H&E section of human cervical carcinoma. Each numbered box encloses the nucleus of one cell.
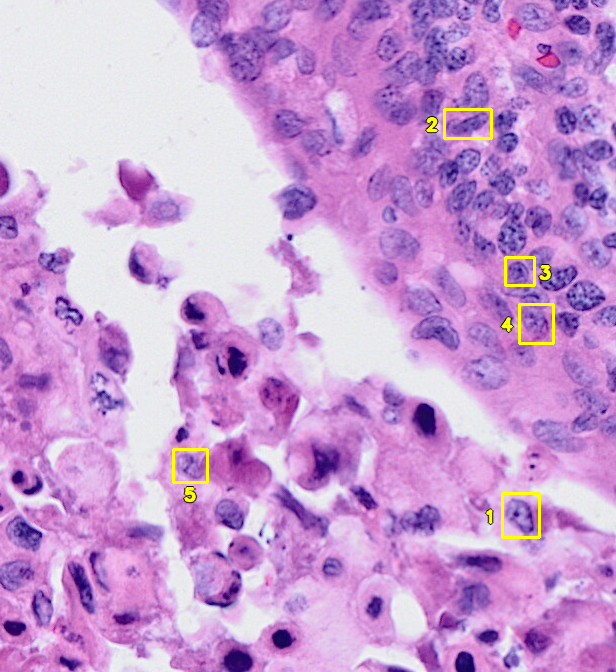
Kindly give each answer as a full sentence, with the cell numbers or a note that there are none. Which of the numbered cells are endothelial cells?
The numbered set holds no endothelial cells whatsoever.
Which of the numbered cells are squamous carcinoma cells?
The cells with the number labels 2, 3 and 4 are squamous carcinoma cells.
